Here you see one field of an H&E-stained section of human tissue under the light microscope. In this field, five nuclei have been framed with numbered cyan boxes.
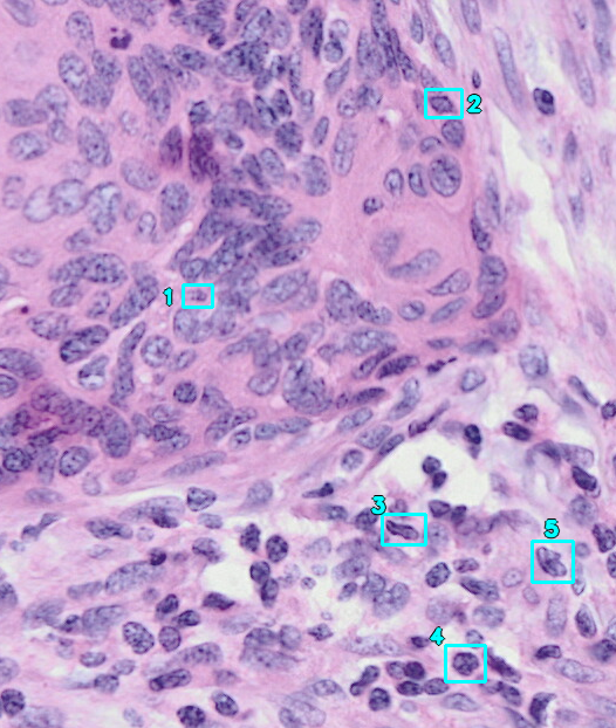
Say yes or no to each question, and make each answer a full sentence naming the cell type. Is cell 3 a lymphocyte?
Yes, the cell numbered 3 in this tissue is a lymphocyte.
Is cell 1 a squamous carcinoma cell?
Yes, the number 1 belongs to a squamous carcinoma cell.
